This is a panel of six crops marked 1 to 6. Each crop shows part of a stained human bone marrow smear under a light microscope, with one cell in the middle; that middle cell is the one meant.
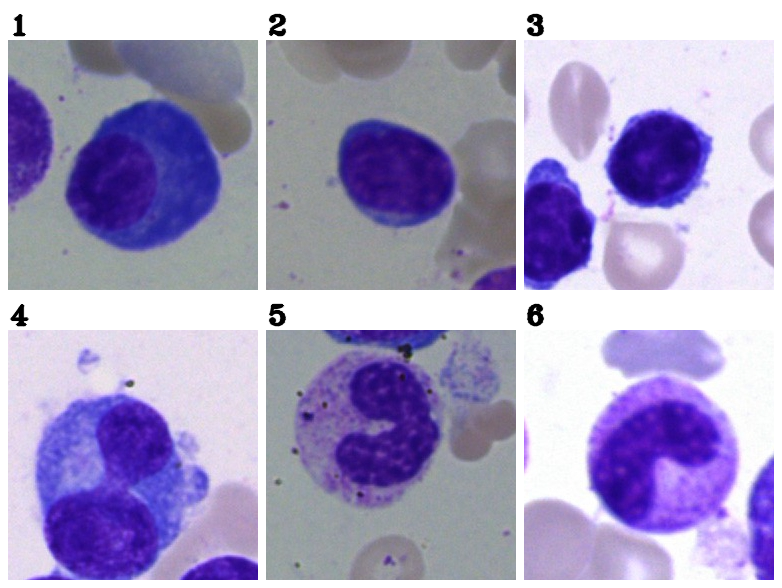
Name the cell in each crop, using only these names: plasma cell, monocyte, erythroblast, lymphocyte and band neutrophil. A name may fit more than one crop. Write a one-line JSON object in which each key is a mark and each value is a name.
{"1": "plasma cell", "2": "lymphocyte", "3": "lymphocyte", "4": "plasma cell", "5": "band neutrophil", "6": "band neutrophil"}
